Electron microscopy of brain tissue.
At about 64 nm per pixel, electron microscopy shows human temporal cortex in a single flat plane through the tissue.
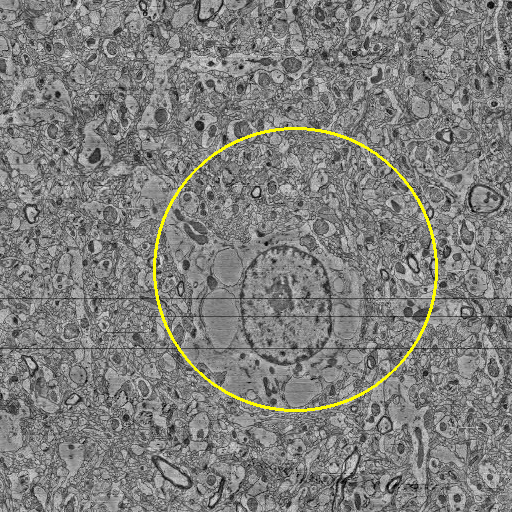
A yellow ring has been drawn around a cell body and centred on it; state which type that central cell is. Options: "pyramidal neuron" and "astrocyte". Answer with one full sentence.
The cell at the middle of the yellow ring is an astrocyte in this picture.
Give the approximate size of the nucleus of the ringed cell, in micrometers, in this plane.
Approximately 8 by 6 micrometers in this plane.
